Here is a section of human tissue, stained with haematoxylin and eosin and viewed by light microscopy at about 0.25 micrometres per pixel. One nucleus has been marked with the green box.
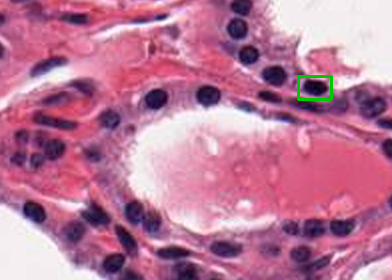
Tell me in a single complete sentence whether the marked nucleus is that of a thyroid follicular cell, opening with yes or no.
Yes, a thyroid follicular cell is the owner of the marked nucleus.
